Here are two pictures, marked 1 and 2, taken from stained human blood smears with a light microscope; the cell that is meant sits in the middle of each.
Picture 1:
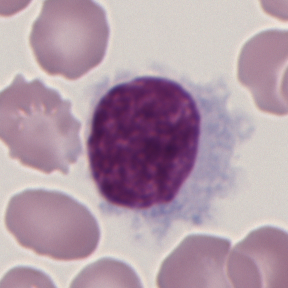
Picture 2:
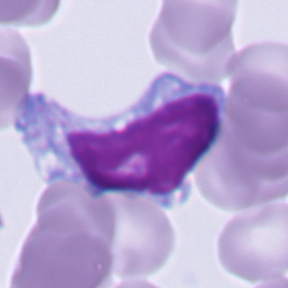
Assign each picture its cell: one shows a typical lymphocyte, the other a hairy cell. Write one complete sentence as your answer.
It is picture 1 that shows a hairy cell, and picture 2 that shows a typical lymphocyte.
